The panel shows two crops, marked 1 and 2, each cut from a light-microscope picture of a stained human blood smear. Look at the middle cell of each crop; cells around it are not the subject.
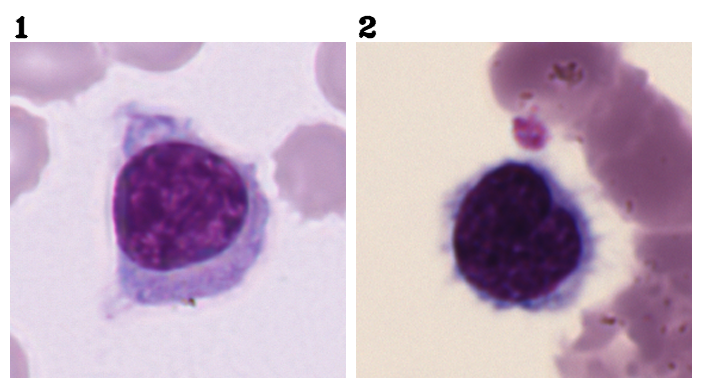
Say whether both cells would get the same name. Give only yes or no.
no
